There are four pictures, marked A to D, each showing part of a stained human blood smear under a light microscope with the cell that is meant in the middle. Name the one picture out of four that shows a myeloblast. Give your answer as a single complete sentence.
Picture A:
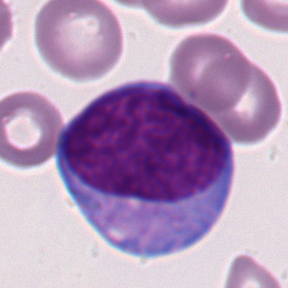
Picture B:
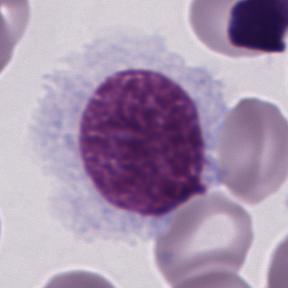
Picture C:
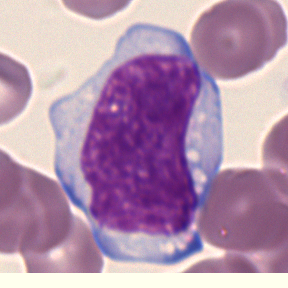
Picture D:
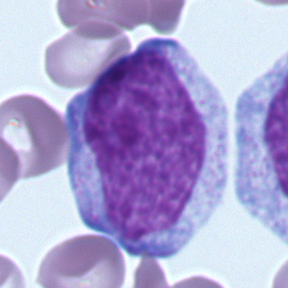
The cell in picture C is the myeloblast.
